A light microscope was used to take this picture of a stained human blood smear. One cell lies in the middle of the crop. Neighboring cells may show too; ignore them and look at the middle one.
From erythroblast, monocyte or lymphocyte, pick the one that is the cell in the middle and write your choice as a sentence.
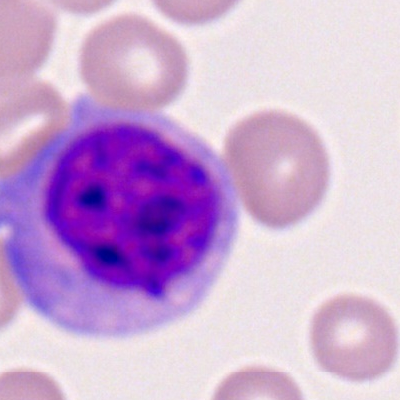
The cell under consideration, at the middle of the crop, is a monocyte.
